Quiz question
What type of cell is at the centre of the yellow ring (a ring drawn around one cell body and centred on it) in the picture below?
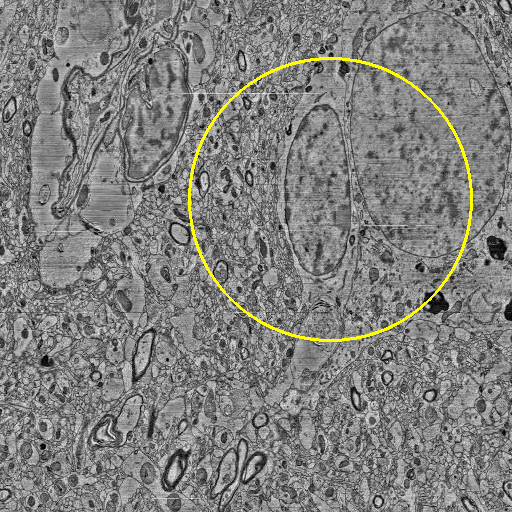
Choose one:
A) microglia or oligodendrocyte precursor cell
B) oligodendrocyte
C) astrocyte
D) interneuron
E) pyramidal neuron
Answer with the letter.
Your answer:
A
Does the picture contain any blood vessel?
Yes, one shows.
